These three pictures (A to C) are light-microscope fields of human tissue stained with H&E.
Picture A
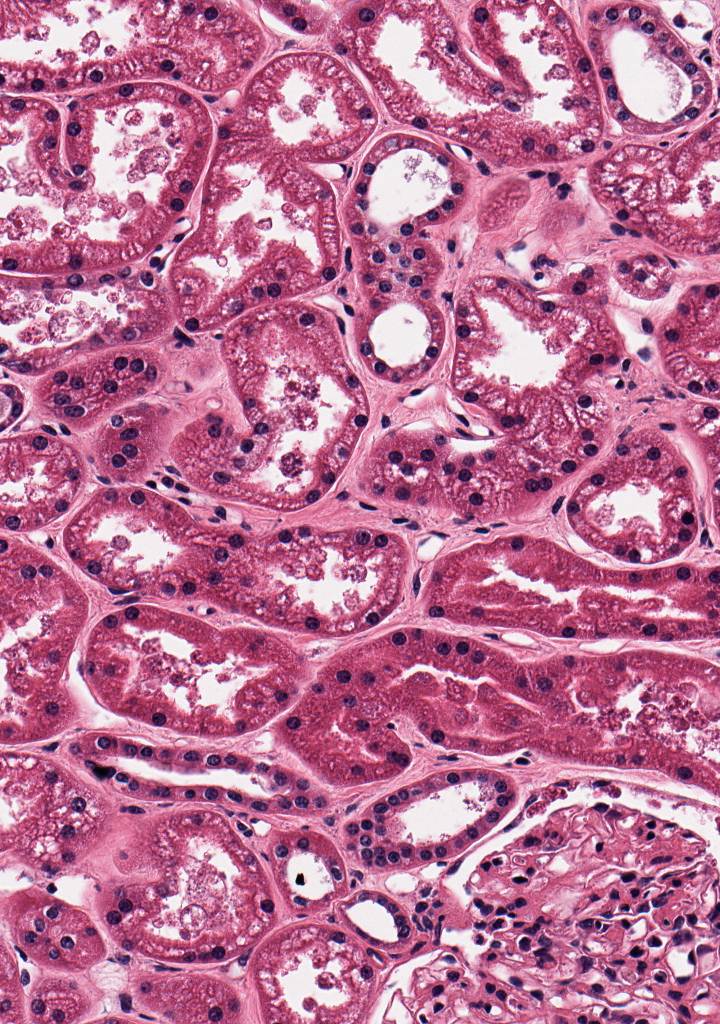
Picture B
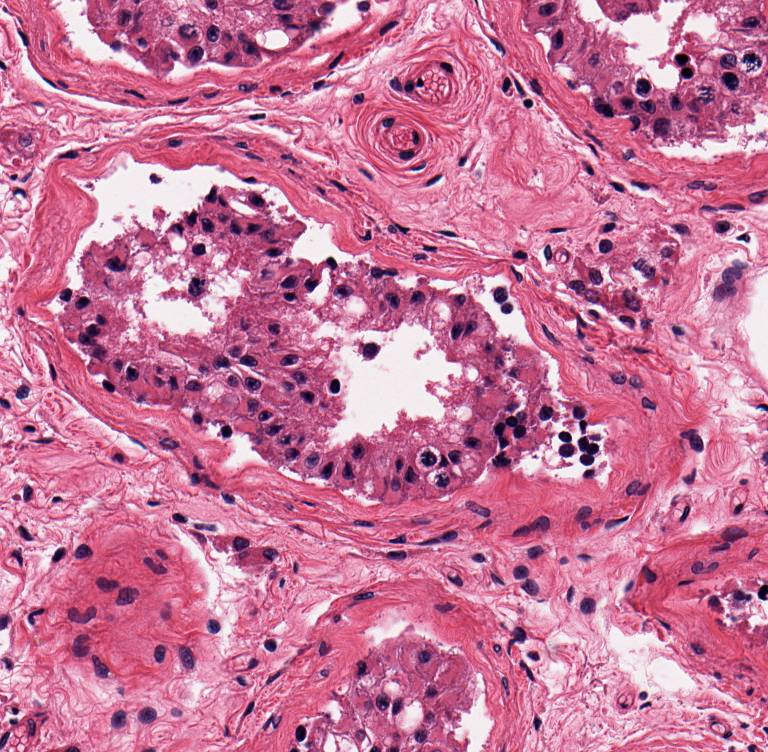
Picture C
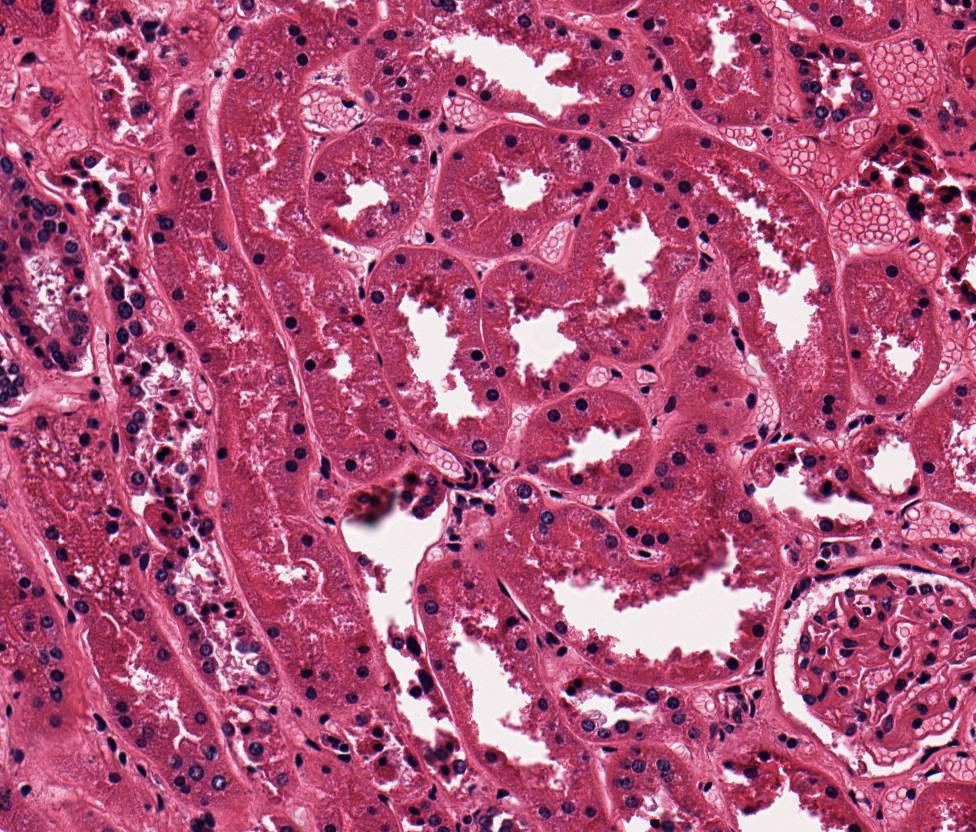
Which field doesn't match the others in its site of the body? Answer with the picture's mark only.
B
